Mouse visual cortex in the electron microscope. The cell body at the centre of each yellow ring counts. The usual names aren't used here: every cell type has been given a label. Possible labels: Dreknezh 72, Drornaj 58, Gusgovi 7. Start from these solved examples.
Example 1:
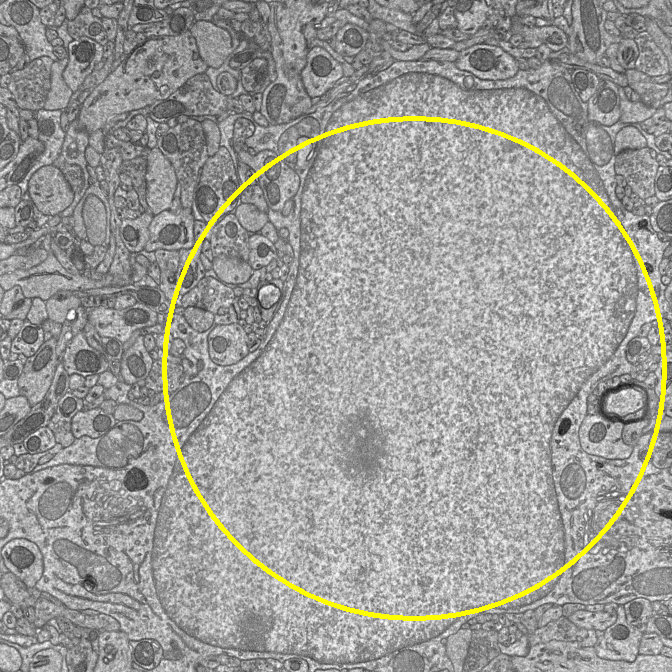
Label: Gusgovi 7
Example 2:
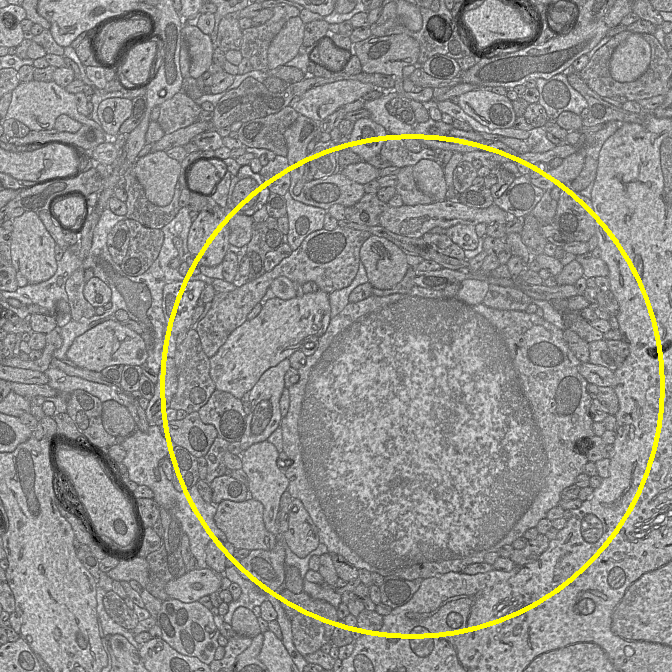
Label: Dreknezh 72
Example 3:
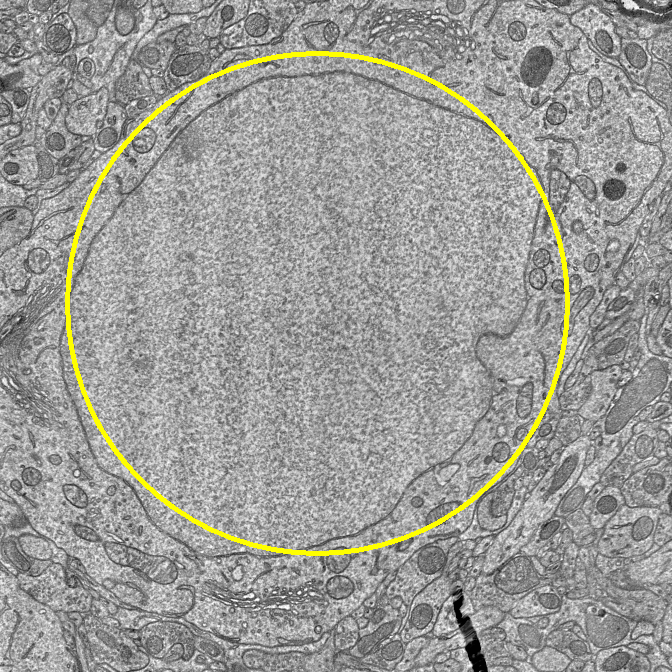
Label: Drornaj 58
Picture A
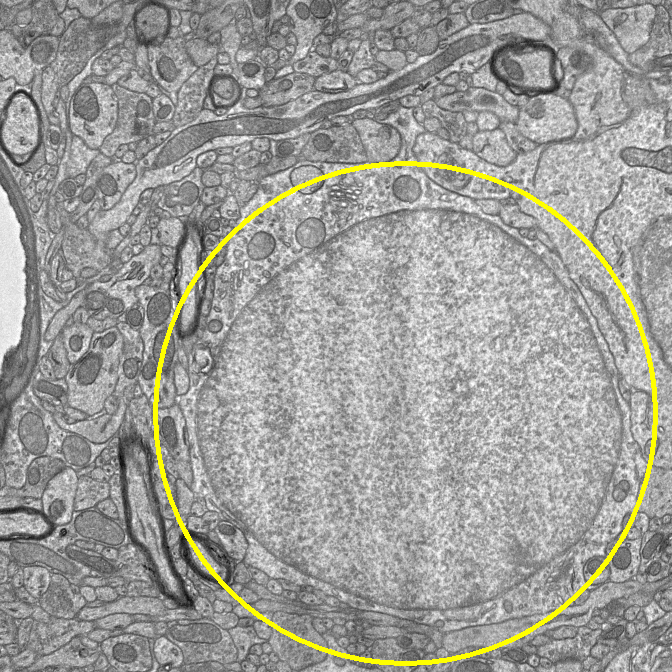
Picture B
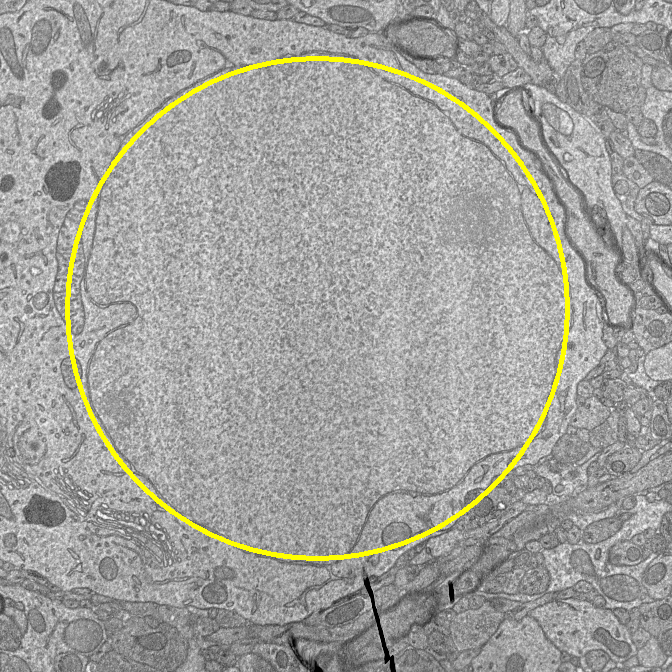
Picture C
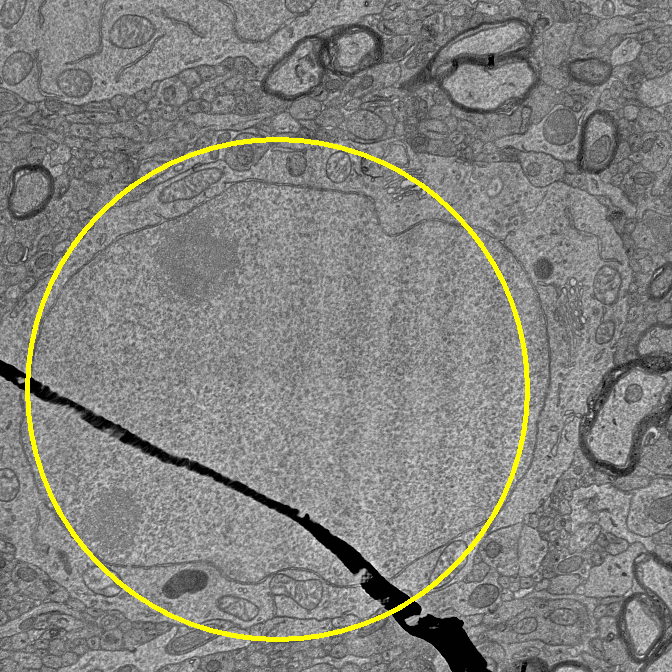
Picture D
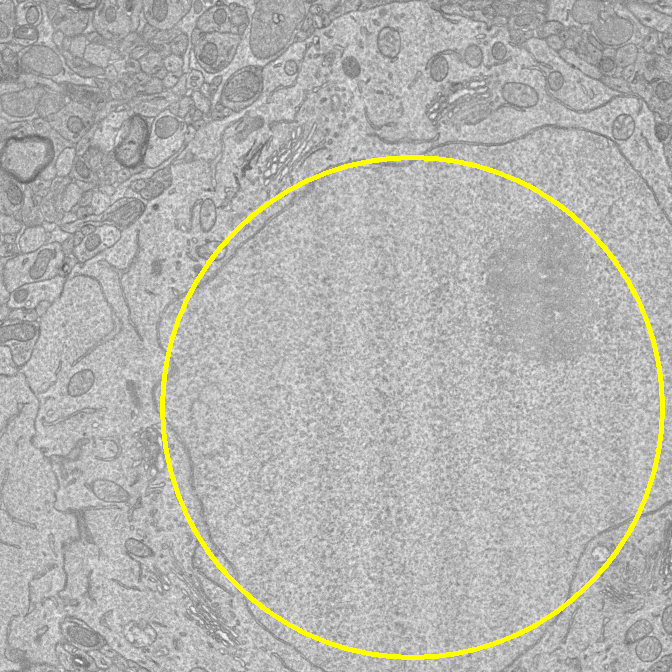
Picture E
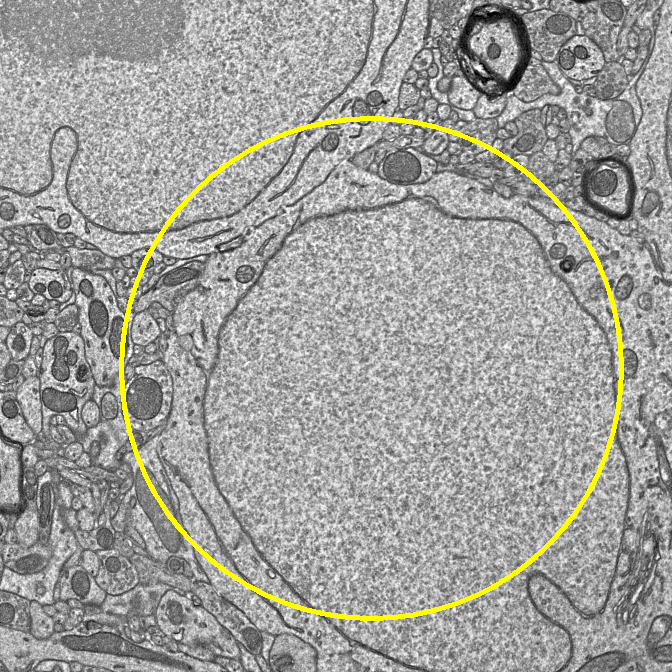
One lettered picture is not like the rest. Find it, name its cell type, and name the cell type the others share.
A (Gusgovi 7) is the exception; every other picture is Drornaj 58.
